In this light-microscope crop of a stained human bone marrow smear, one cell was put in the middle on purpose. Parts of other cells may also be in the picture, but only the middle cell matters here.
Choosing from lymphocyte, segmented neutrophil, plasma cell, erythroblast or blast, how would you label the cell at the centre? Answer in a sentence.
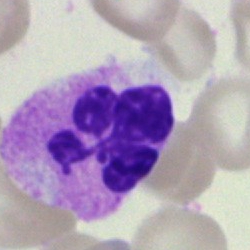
The centered cell in this crop is a segmented neutrophil.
